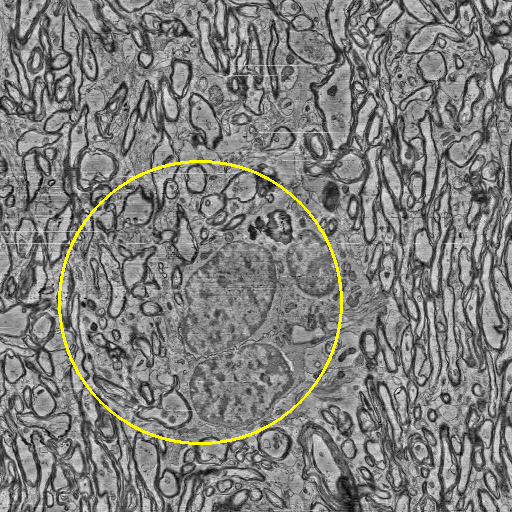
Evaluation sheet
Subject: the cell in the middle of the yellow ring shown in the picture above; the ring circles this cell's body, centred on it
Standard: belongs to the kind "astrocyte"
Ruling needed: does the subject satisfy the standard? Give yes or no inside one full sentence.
No, the cell in the middle of the ring in the picture above belongs to some other kind.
